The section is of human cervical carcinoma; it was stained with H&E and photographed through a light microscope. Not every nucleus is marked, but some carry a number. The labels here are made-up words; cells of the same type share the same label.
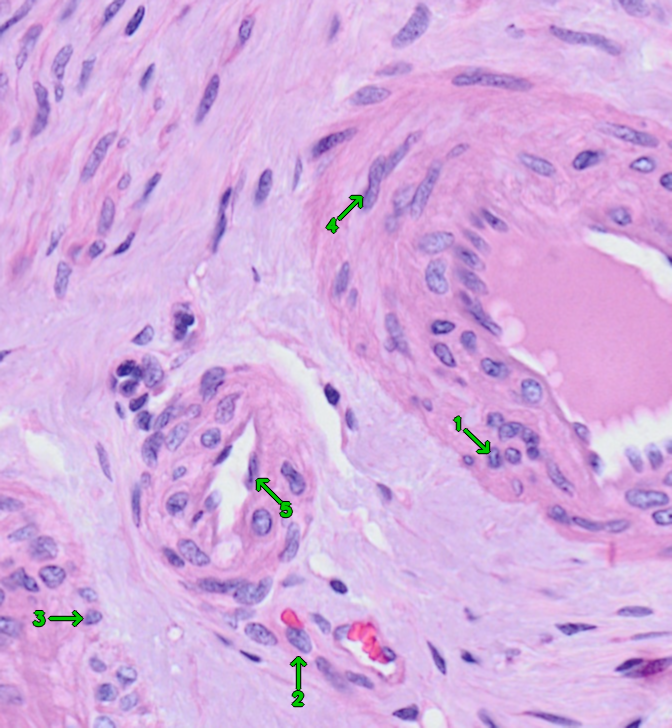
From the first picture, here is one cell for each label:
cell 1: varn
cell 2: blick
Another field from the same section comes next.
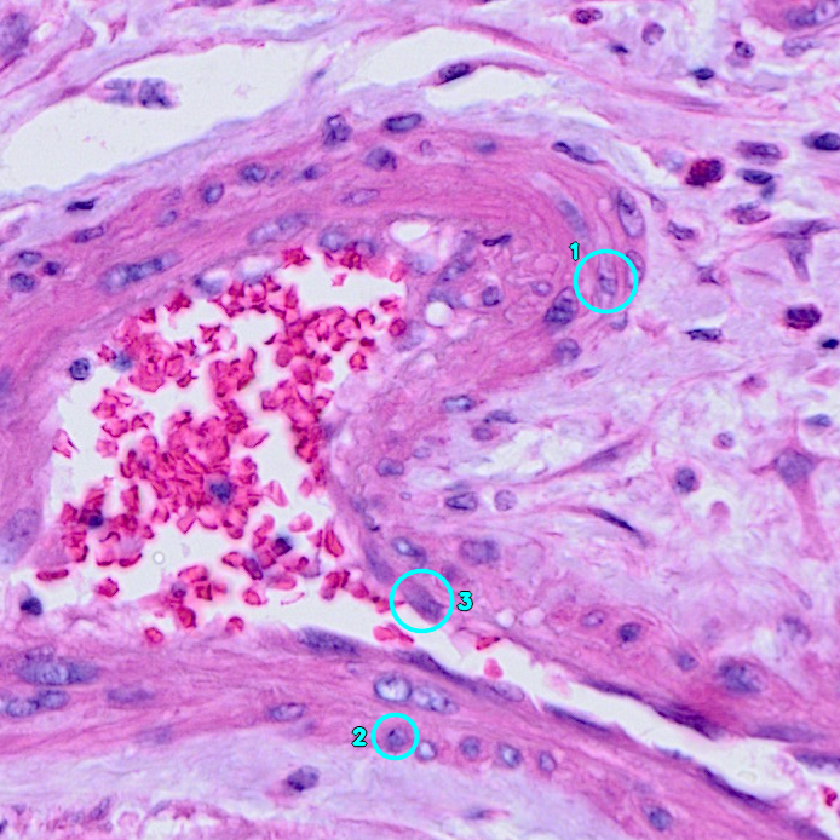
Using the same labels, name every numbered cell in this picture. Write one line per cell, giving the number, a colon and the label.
1: varn
2: varn
3: blick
